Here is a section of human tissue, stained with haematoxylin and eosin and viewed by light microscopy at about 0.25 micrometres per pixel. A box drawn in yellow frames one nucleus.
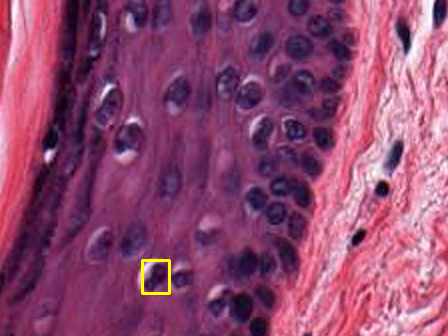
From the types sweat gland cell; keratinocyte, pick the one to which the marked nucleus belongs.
keratinocyte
